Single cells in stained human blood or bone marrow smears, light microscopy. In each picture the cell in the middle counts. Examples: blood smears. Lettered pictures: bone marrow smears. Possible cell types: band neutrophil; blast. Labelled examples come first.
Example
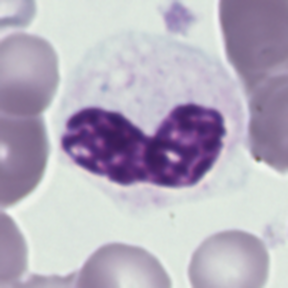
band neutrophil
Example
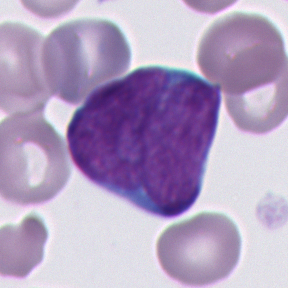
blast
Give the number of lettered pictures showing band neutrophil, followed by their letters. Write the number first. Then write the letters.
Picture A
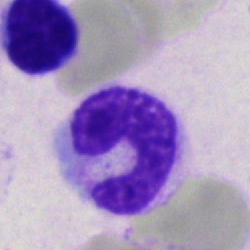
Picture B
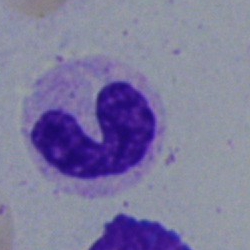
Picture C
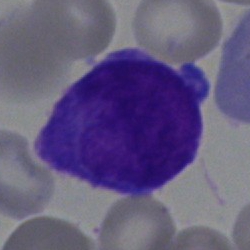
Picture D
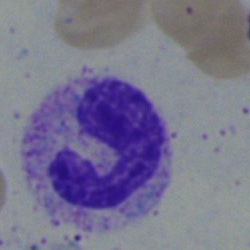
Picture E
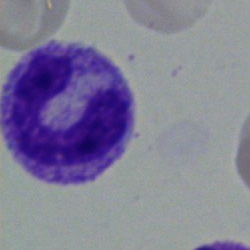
Count: 4 (A, B, D, E)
